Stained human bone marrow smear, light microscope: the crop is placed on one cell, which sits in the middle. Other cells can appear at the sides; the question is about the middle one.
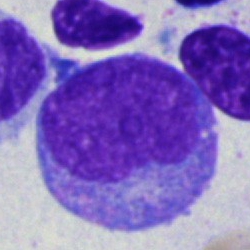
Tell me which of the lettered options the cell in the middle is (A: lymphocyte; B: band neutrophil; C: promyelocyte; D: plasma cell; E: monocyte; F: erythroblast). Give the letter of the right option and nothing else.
C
